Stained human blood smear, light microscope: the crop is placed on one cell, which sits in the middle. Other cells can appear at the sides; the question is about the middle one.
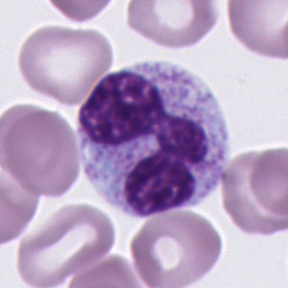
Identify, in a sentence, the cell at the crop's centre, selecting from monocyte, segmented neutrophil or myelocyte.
Where the crop is centred, there is a segmented neutrophil.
